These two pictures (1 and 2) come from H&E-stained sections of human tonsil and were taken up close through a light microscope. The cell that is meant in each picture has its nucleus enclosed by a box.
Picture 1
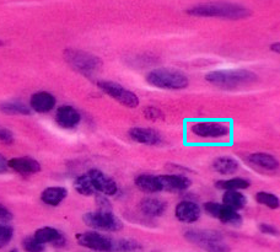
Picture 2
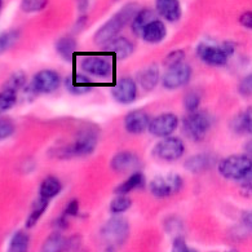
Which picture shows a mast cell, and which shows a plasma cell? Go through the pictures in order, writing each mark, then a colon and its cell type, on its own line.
1: mast cell
2: plasma cell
